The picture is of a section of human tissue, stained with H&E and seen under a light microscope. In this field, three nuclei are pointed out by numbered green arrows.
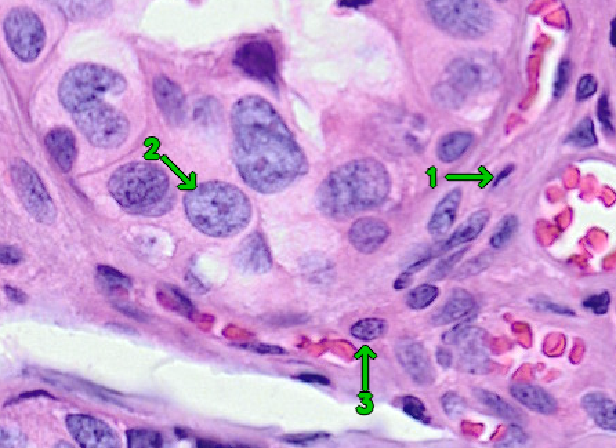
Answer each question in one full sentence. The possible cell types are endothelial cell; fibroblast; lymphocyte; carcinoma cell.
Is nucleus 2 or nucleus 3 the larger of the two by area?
Number 2 is larger; its area is about 4 times that of number 3.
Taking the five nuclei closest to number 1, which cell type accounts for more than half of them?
Of the five nuclei nearest to number 1, most belong to fibroblasts.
